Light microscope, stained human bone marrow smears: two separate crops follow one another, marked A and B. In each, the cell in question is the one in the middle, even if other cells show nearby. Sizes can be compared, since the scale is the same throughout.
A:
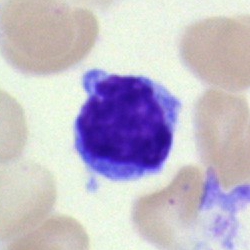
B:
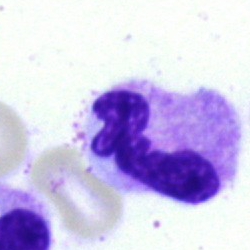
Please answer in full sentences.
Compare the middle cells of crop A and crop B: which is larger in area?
The cell in crop B is larger, with about 1.5 times the area of the one in crop A.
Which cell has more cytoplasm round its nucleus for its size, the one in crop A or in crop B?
In crop B the nucleus takes up the smaller part of its cell.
